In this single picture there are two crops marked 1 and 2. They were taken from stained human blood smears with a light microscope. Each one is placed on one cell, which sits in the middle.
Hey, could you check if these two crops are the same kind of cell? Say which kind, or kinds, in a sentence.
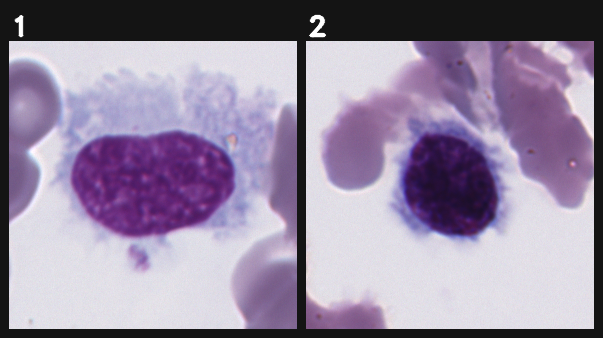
Yes, as shown in both crops, the central cells are hairy cells.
